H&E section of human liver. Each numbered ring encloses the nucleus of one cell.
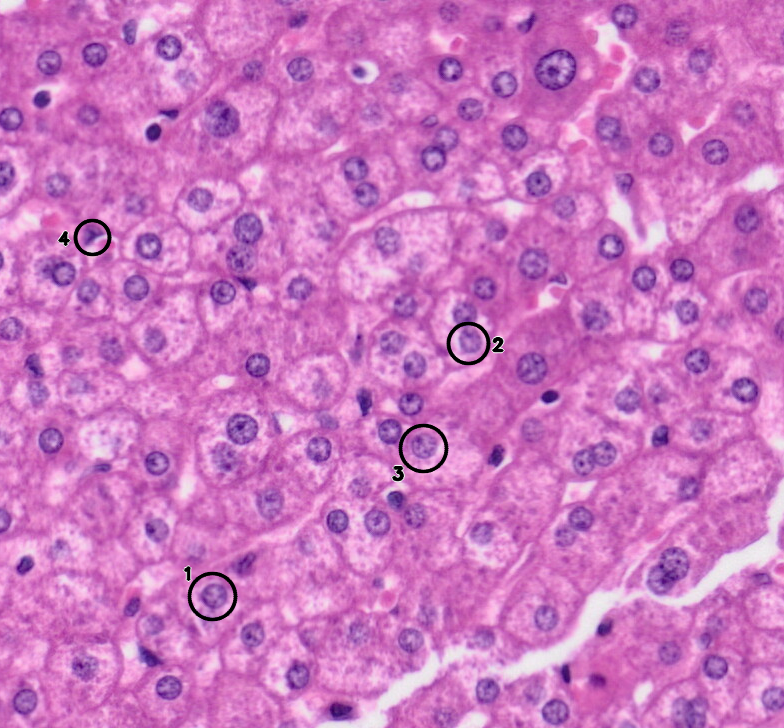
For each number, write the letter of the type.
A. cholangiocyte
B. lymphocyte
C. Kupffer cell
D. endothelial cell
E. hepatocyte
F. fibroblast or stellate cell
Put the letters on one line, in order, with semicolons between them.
E; E; E; D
